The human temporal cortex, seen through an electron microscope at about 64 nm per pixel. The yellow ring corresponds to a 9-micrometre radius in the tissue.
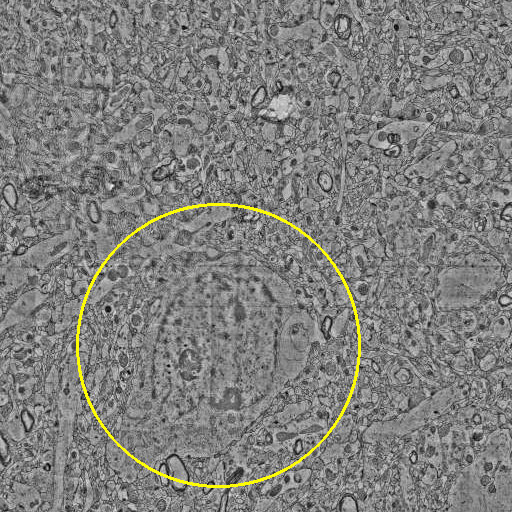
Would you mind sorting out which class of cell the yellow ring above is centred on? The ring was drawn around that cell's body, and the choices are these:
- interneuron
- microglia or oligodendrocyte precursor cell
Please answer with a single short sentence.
This is the cell body of an interneuron.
